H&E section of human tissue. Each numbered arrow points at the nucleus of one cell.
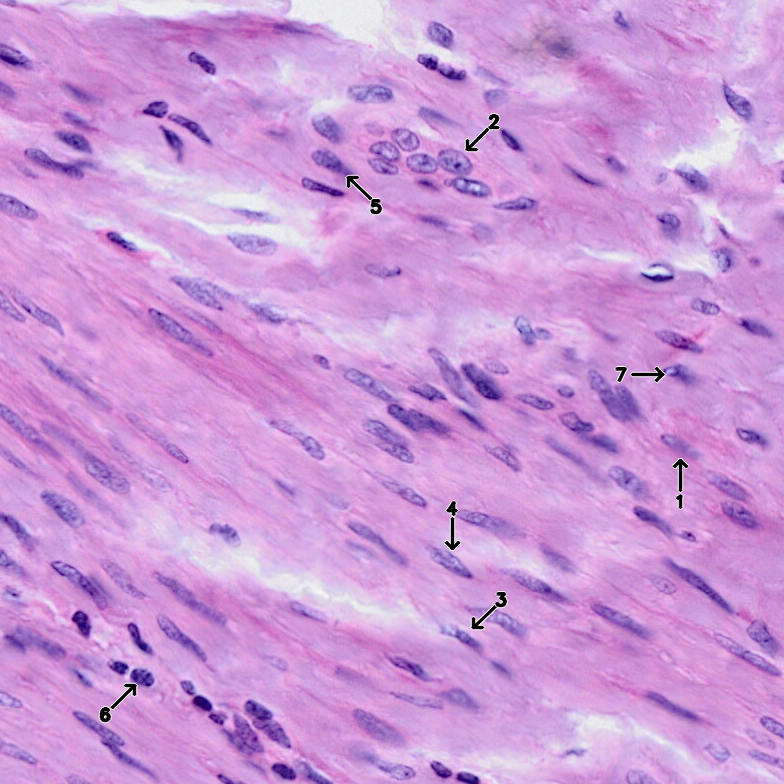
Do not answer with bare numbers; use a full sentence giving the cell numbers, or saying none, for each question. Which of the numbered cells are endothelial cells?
Cell 2 is the one numbered cell that is an endothelial cell.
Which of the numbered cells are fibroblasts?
The cells assigned the numbers 3, 4, 5 and 7 are fibroblasts.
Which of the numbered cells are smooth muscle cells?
No marked cell except number 1 is a smooth muscle cell.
